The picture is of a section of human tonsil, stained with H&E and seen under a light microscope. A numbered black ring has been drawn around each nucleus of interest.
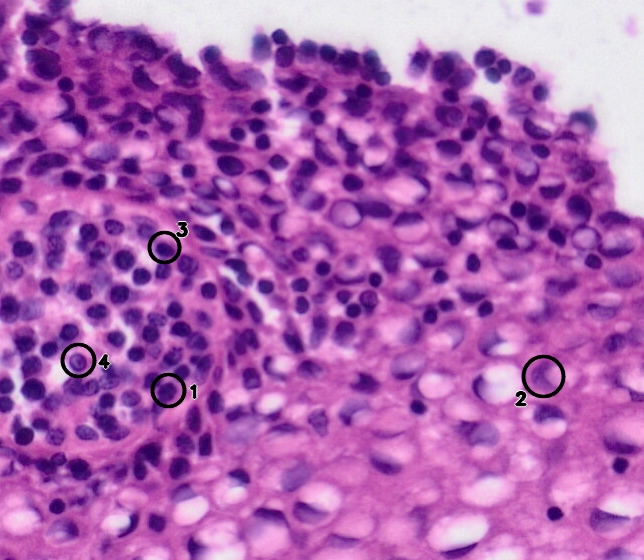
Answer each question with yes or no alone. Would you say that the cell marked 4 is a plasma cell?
yes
